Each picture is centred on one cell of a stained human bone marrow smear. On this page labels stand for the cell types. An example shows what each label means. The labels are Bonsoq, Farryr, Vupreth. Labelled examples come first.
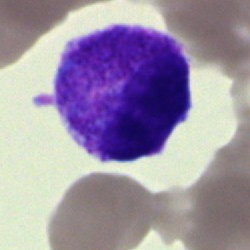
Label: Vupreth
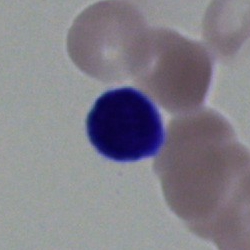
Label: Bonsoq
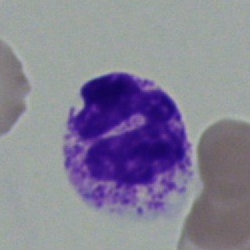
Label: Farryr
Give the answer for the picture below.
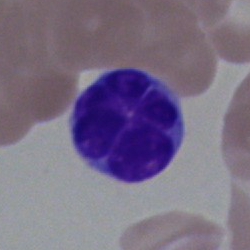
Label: Bonsoq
